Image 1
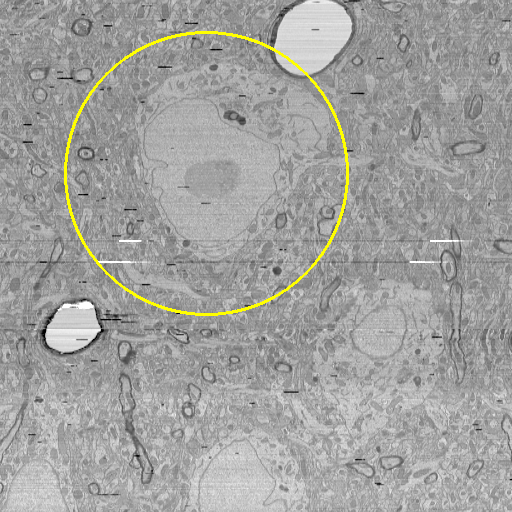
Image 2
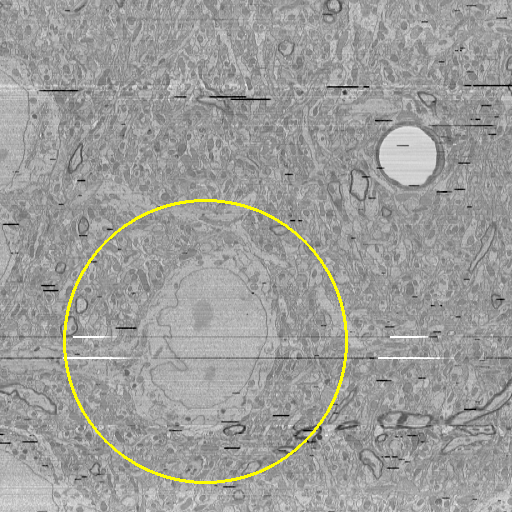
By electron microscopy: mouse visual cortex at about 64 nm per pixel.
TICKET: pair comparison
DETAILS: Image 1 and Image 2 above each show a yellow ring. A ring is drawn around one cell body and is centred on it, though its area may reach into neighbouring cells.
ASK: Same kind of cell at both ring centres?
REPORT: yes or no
yes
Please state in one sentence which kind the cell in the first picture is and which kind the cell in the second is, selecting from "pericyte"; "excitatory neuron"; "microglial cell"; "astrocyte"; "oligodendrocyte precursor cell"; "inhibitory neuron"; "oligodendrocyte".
Each of the two rings is centred on an excitatory neuron.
